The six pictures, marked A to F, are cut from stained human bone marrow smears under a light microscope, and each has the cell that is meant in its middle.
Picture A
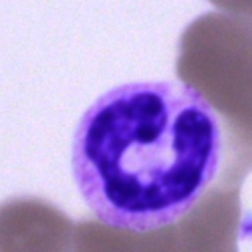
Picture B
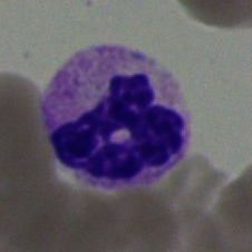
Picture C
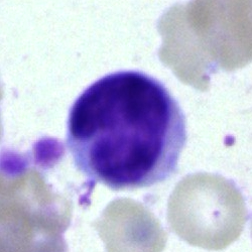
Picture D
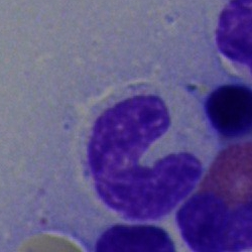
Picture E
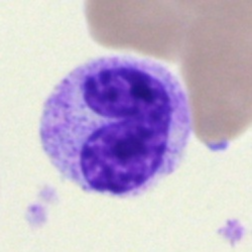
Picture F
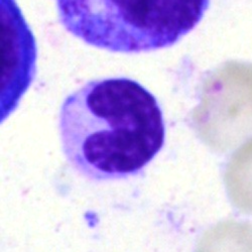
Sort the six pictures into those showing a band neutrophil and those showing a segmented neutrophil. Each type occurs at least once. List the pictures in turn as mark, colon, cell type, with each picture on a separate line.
A: segmented neutrophil
B: segmented neutrophil
C: band neutrophil
D: band neutrophil
E: band neutrophil
F: band neutrophil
